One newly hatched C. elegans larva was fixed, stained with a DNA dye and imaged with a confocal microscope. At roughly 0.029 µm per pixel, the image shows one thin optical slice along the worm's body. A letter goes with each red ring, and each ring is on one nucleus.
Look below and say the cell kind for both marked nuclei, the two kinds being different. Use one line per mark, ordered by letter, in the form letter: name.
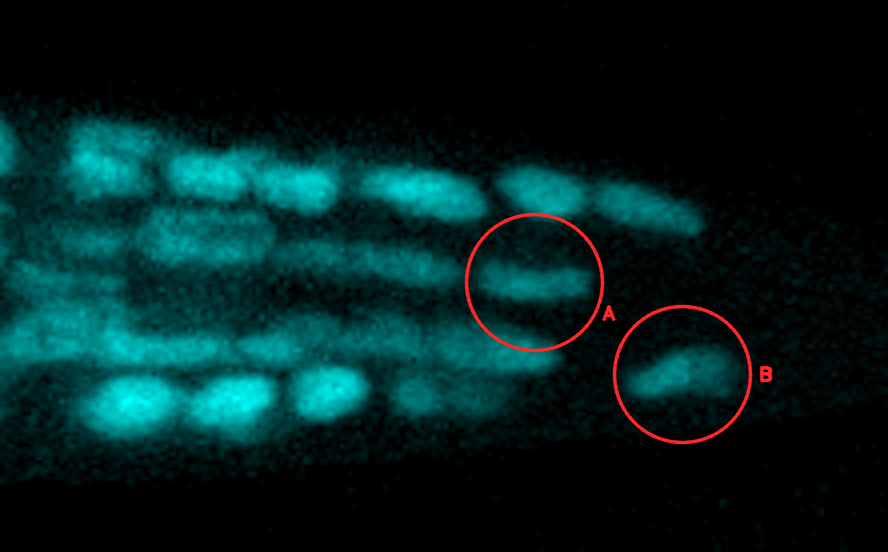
A: pharyngeal epithelial cell
B: hypodermal cell (hyp)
